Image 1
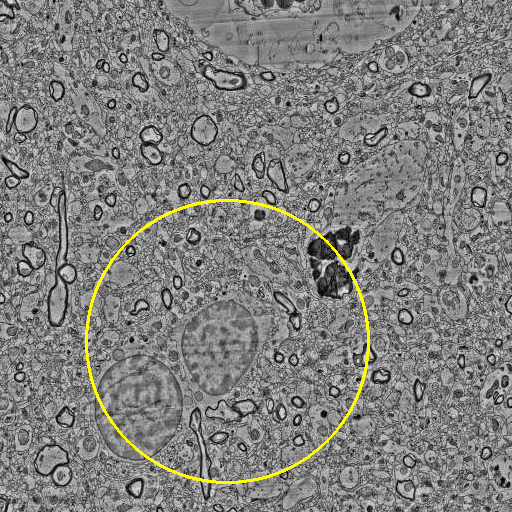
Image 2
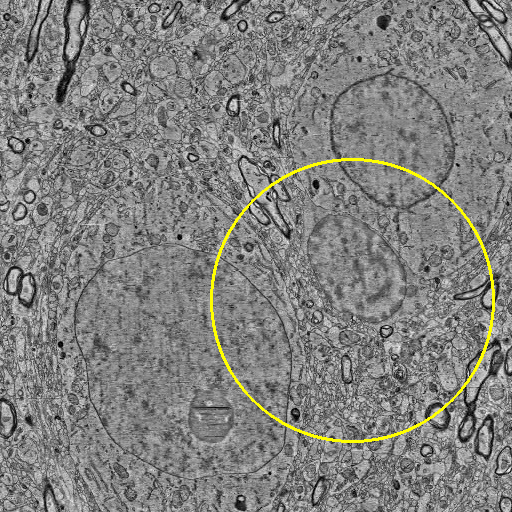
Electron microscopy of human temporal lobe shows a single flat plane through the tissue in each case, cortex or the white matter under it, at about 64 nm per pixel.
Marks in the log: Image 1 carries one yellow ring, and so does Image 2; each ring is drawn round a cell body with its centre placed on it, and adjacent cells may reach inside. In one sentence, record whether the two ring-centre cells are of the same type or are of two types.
The two cells at the ring centres, one in each image, are of the same type.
